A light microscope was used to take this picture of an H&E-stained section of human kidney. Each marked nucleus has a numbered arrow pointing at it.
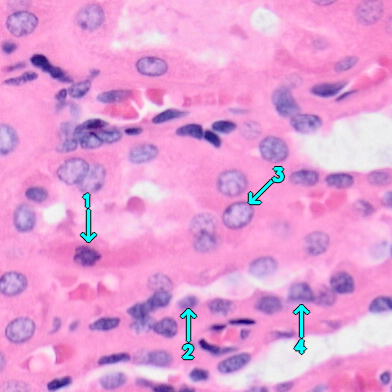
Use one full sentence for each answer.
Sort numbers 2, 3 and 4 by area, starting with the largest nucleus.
By area, largest first, they run 3, 4, 2.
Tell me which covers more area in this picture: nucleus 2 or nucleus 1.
Of the two, number 1 is bigger and takes up about 2 times the area of number 2.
